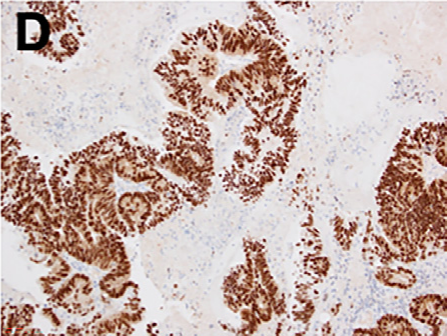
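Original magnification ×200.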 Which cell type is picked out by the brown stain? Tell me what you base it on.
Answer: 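Tumor cells. Brown stain lies in the crowded nuclei of cells lining glands. The stroma between glands is pale and unstained.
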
